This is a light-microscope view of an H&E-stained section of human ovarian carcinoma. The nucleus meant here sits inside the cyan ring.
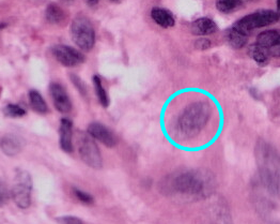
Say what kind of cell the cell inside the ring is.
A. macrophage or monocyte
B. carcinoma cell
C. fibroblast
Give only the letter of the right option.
C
